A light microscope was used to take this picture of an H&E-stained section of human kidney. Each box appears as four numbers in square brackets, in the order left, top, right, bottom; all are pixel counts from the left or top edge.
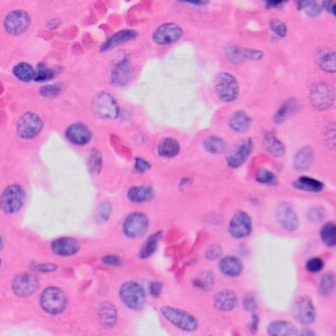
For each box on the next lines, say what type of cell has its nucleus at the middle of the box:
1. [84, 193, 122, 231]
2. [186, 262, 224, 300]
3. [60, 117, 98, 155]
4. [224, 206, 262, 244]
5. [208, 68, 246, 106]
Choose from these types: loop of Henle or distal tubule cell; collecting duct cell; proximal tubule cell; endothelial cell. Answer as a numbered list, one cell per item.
1. loop of Henle or distal tubule cell
2. collecting duct cell
3. loop of Henle or distal tubule cell
4. collecting duct cell
5. loop of Henle or distal tubule cell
